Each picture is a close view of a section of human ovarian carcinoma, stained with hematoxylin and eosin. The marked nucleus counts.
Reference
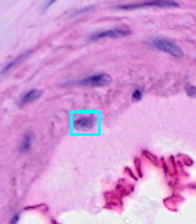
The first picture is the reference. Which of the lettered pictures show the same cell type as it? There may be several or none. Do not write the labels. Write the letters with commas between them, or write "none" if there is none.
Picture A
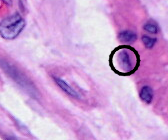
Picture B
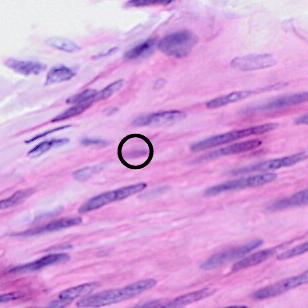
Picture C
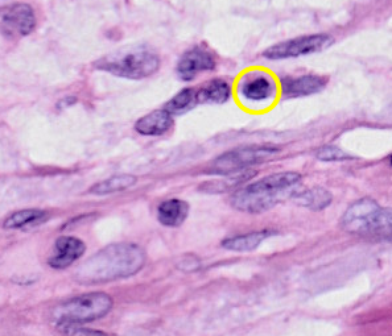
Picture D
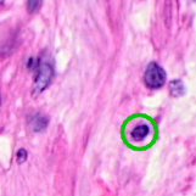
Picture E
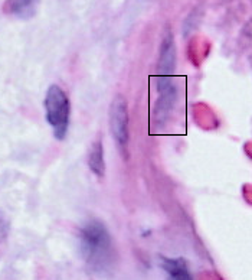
E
